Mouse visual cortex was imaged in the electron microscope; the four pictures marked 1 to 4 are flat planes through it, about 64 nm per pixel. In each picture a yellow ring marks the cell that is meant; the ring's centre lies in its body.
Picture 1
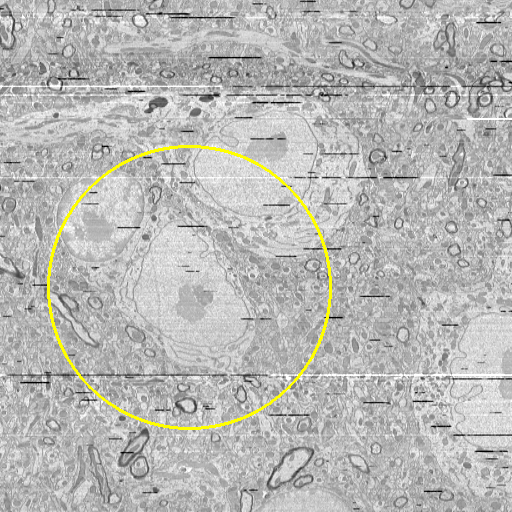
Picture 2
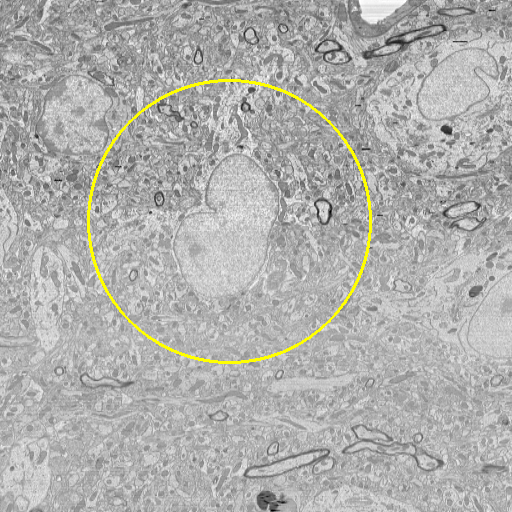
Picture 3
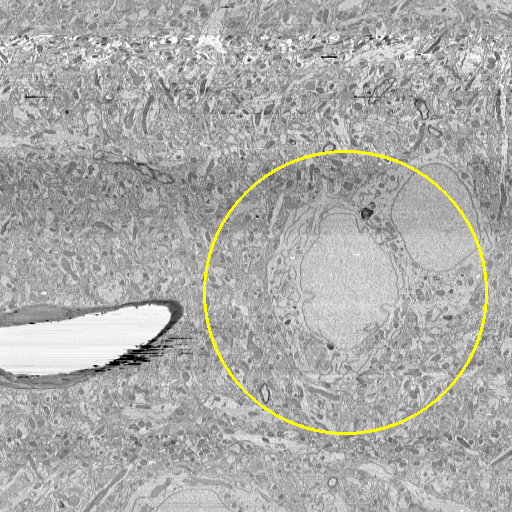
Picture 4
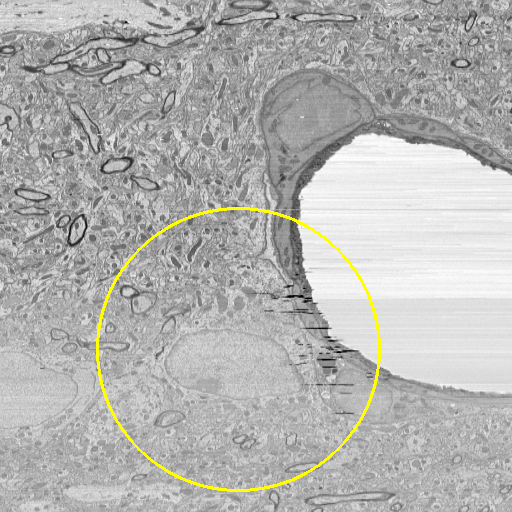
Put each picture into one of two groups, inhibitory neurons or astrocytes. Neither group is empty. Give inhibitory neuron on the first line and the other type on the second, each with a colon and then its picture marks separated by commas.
inhibitory neuron: 1, 3
astrocyte: 2, 4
